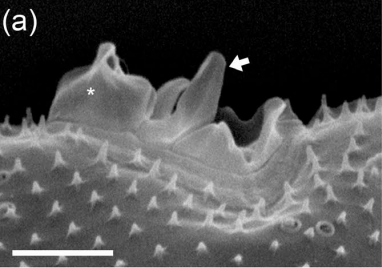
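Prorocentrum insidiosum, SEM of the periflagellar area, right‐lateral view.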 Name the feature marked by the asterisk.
Wide wing on the dorsal side.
